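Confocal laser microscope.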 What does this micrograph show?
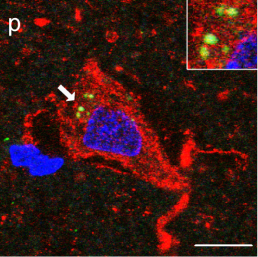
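A large neuronal cell body with a roughly triangular shape is filled with granular red stain and gives off thick processes. A second, irregular blue nucleus lies just outside the cell to the left.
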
